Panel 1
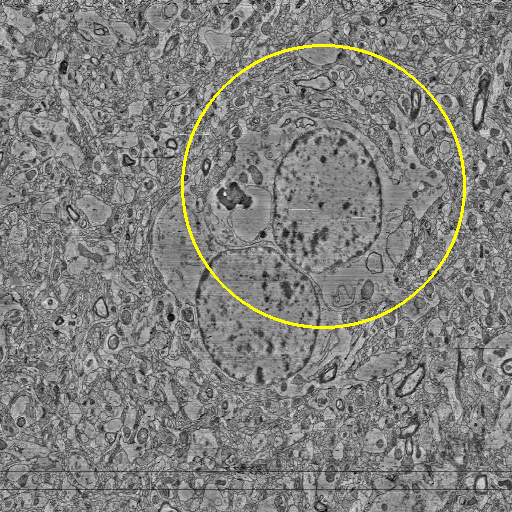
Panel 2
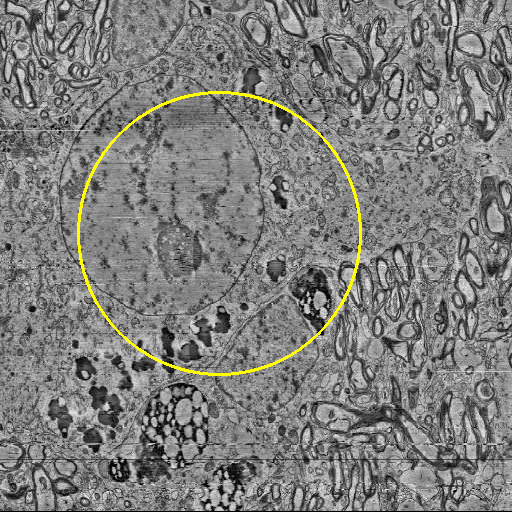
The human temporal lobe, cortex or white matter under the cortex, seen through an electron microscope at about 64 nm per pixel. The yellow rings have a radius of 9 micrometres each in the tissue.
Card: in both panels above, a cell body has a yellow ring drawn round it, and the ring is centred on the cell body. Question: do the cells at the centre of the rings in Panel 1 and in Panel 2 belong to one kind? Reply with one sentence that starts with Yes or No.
No, the cells centred in the rings of Panel 1 and Panel 2 are two kinds of cell.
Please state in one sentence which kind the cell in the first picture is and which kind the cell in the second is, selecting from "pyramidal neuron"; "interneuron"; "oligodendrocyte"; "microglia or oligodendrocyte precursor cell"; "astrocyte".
The first ringed cell is an astrocyte, the second ringed cell a pyramidal neuron.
